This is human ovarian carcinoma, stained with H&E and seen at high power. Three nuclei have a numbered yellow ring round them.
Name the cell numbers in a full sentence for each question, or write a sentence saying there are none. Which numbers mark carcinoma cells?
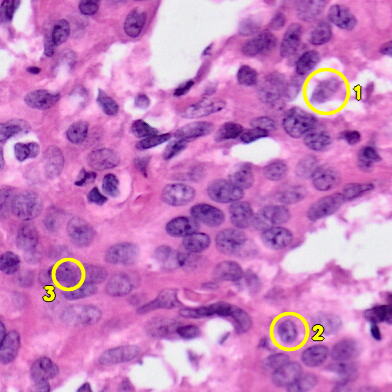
Cells numbered 1 and 3 belong to the group of carcinoma cells.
